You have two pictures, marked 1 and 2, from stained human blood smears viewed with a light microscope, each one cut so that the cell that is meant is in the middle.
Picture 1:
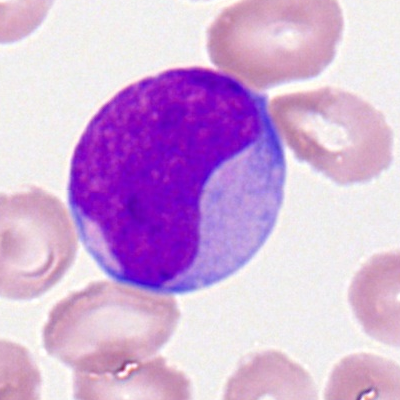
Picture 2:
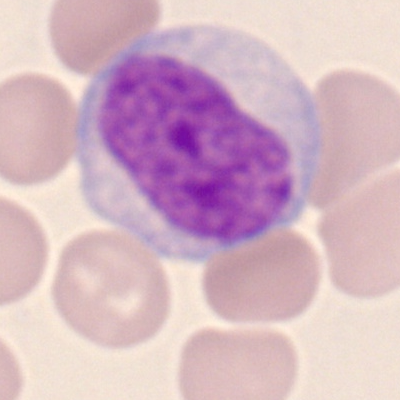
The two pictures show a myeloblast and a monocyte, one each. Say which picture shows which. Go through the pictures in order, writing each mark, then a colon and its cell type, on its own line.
1: myeloblast
2: monocyte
